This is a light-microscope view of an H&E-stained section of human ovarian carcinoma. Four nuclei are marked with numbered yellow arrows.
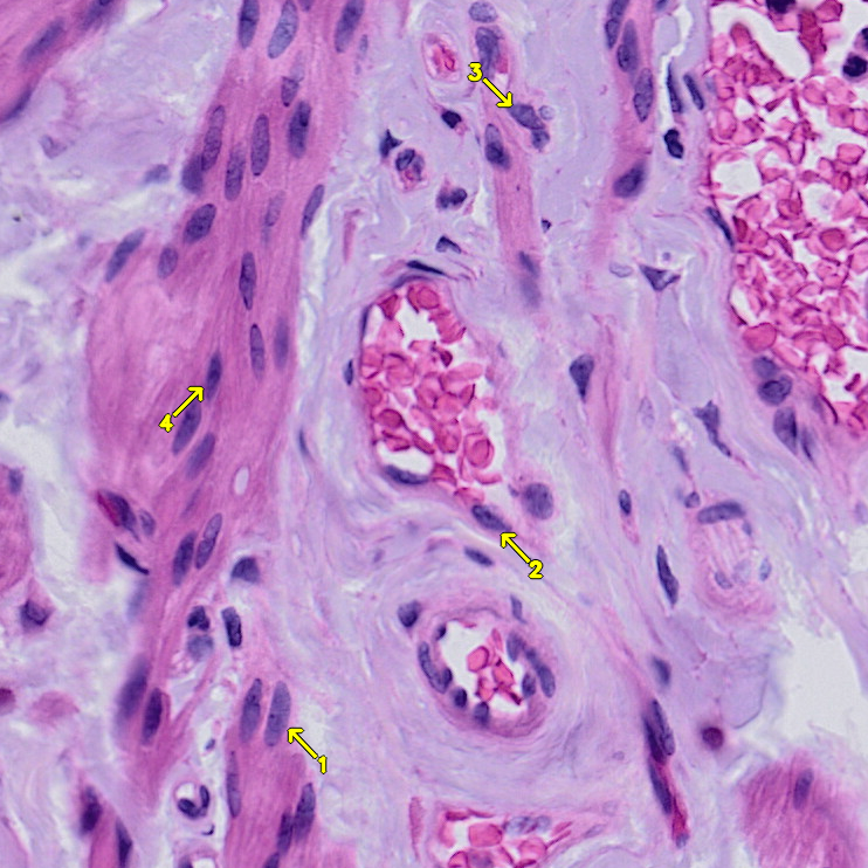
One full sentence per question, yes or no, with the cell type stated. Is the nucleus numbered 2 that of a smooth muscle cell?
No, in terms of cell type, cell 2 is an endothelial cell, not a smooth muscle cell.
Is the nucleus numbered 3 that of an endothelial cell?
Yes, the nucleus numbered 3 belongs to an endothelial cell.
